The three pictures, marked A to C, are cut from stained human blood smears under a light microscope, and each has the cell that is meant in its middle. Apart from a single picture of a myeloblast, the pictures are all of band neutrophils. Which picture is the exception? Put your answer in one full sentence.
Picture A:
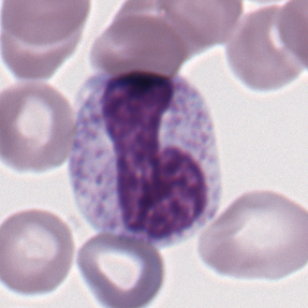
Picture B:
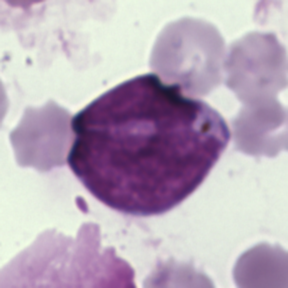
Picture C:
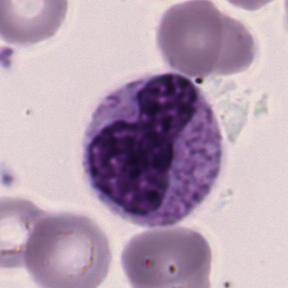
The cell in picture B is the myeloblast.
